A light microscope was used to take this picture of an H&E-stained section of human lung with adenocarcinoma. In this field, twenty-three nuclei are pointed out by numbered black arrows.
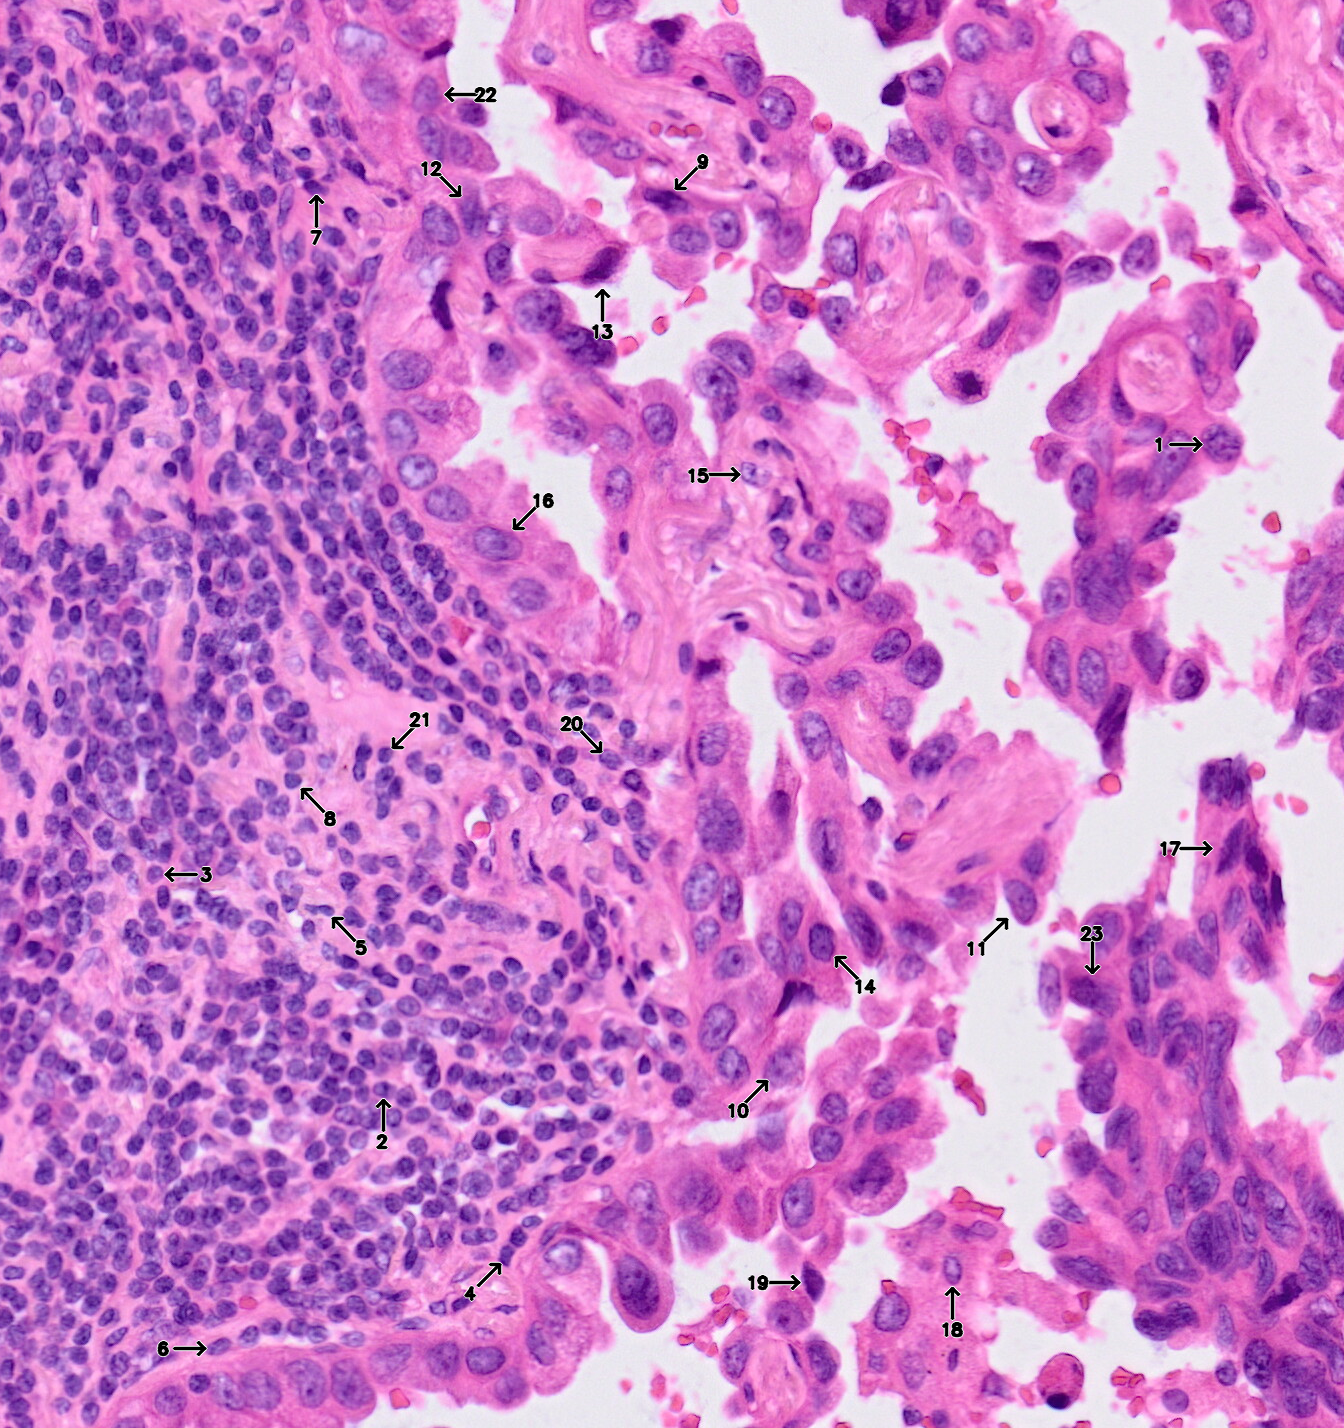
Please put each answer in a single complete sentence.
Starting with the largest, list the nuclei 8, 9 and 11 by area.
From largest to smallest, the order is 11, 9, 8.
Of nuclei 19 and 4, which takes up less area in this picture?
Nucleus 4 covers less area, with nucleus 19 about 4 times as large.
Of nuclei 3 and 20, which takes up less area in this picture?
Nucleus 3 is the smaller one; nucleus 20 covers about 2 times its area.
